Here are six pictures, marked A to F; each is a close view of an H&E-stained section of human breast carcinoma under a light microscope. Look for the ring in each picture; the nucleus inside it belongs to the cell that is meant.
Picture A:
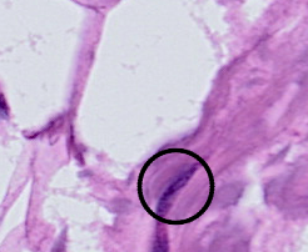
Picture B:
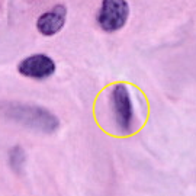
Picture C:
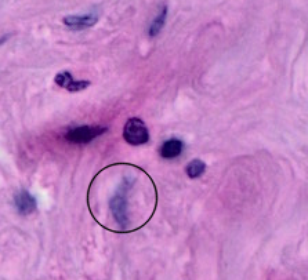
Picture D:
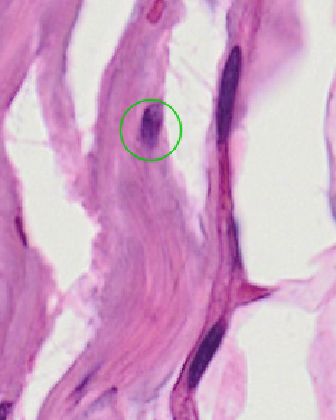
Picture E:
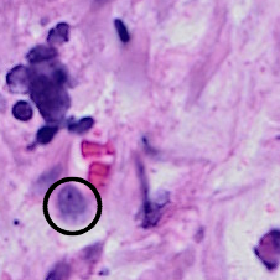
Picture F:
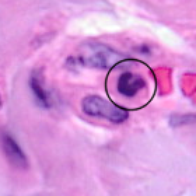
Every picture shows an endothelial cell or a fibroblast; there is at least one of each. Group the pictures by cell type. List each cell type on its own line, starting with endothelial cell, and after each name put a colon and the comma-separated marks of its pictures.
endothelial cell: E, F
fibroblast: A, B, C, D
